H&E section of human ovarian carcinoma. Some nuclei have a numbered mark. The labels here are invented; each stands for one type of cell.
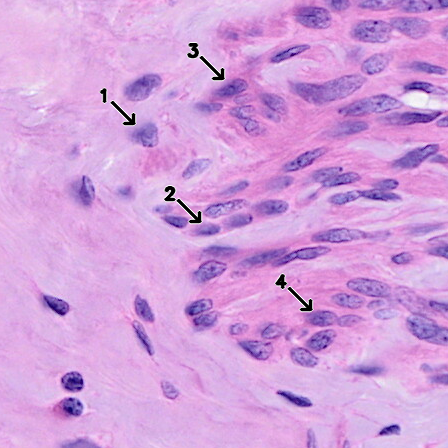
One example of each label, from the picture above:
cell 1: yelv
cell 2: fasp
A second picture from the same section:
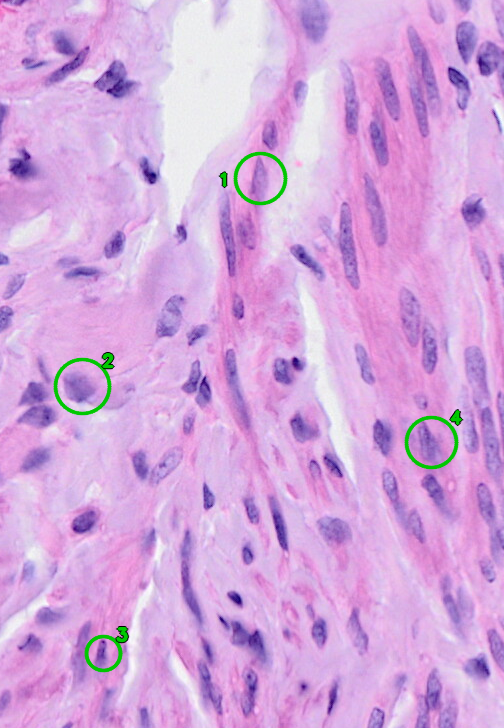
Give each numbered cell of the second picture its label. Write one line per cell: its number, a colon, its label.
1: fasp
2: yelv
3: fasp
4: fasp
